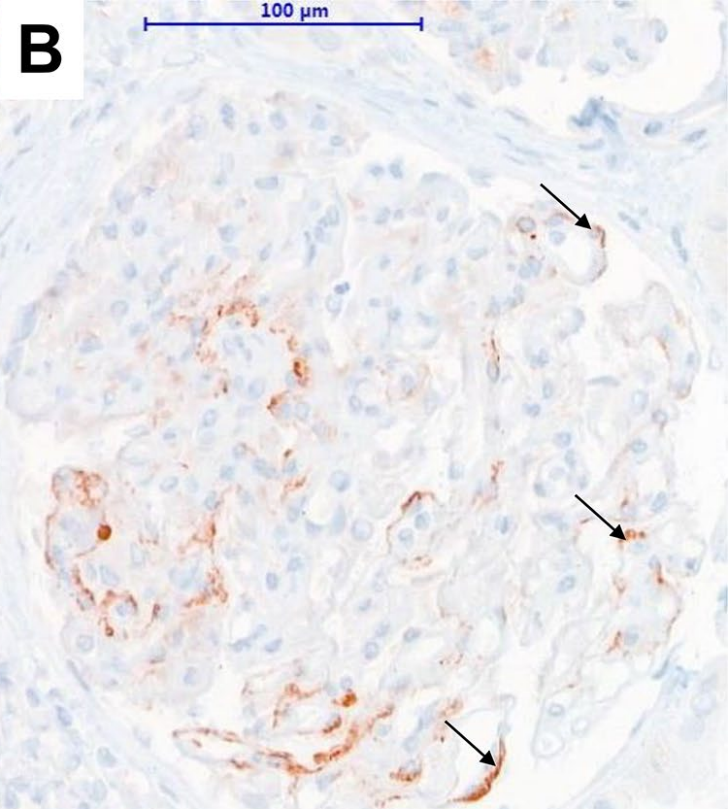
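A large round glomerulus is shown, its tuft of capillary loops crowded with blue nuclei and surrounded by a clear space and fibrous tissue. Brown stain is fainter and patchier than a continuous lining, appearing as fine granules and short segments along the walls of some loops. Much of the tuft interior stays pale blue. This is a segmental, granular staining of glomerular peripheral capillary loops.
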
